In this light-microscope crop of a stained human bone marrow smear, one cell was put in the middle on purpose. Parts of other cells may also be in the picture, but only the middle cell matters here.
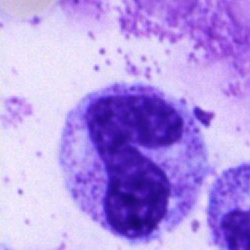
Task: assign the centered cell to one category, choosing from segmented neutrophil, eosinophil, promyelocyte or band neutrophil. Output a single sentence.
In the middle of this smear crop is a band neutrophil.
